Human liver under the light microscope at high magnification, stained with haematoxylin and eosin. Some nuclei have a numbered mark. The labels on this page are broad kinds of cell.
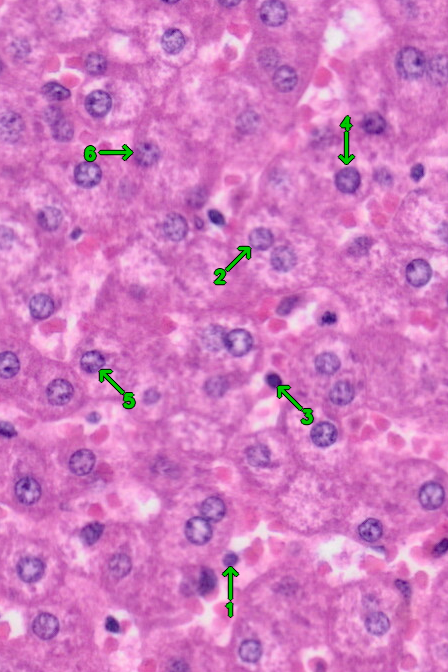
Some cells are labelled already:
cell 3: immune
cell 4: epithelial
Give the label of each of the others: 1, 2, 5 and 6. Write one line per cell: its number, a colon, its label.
1: immune
2: epithelial
5: epithelial
6: epithelial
